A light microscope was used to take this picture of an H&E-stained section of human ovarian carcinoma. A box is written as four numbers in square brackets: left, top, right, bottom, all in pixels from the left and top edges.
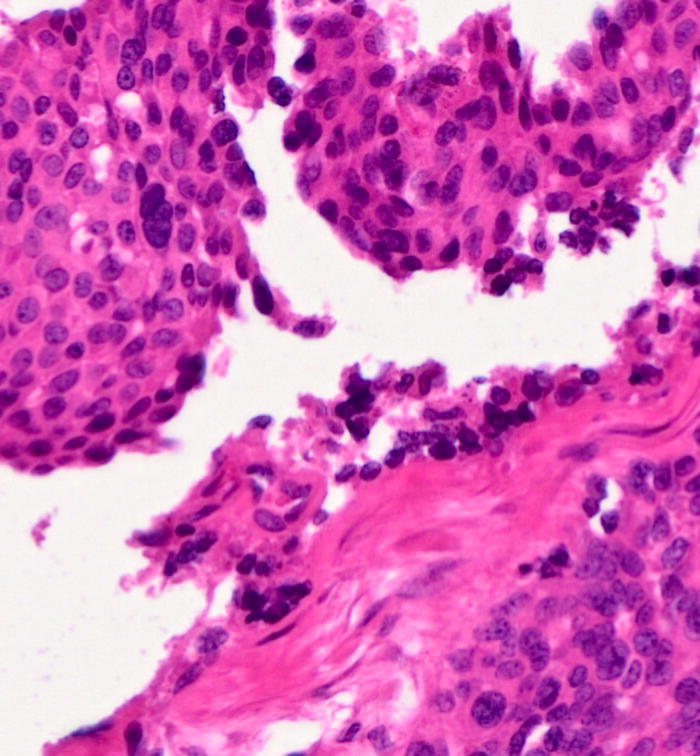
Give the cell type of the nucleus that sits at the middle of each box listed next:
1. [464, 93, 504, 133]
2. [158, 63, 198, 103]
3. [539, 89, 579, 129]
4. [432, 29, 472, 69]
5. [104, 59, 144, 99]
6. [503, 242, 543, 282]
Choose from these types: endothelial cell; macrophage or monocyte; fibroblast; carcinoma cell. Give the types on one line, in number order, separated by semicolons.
carcinoma cell; carcinoma cell; carcinoma cell; macrophage or monocyte; macrophage or monocyte; carcinoma cell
